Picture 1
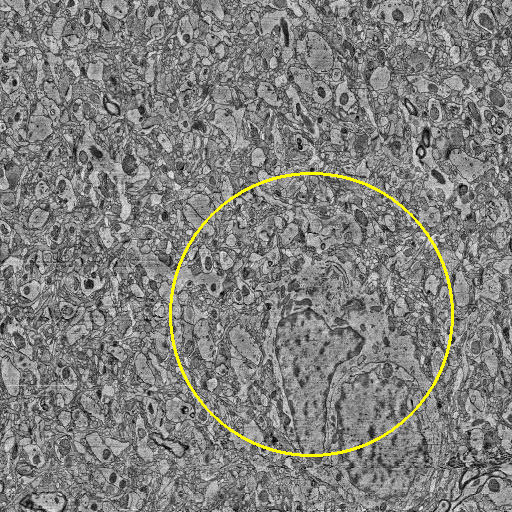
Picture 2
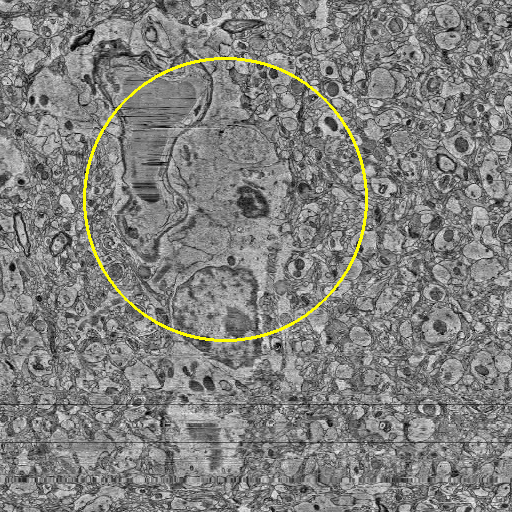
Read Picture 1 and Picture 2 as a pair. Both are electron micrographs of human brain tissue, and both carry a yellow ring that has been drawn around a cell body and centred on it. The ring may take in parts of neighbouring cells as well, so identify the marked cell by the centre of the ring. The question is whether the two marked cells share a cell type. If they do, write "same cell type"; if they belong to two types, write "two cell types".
same cell type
